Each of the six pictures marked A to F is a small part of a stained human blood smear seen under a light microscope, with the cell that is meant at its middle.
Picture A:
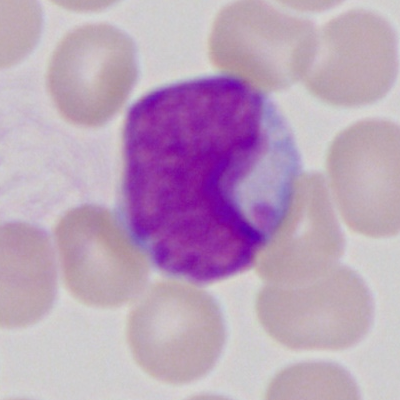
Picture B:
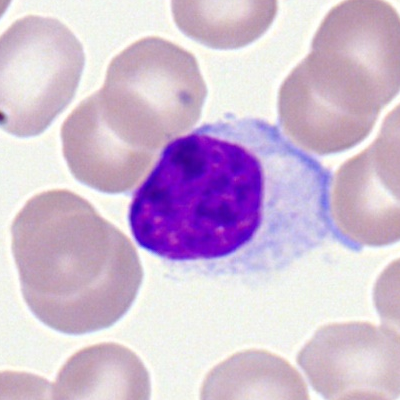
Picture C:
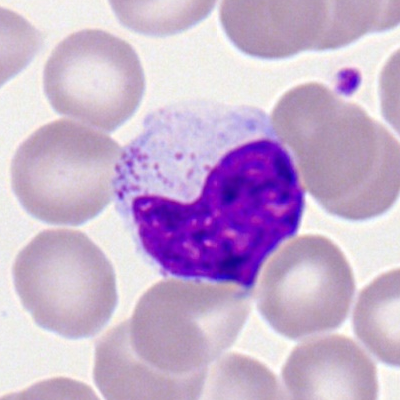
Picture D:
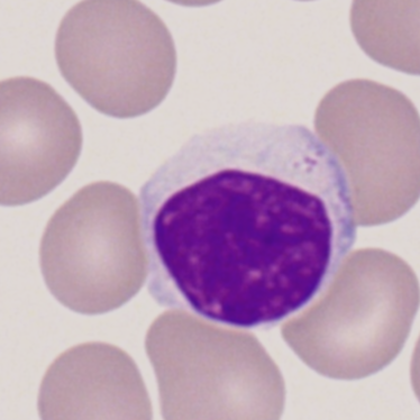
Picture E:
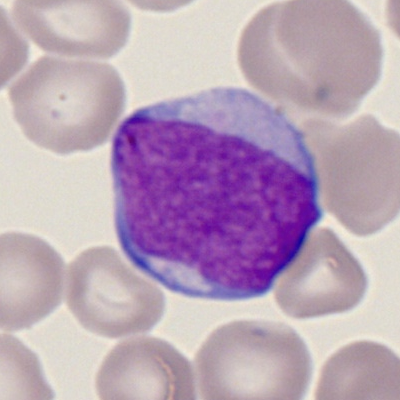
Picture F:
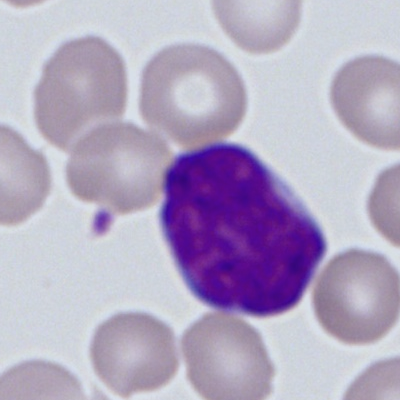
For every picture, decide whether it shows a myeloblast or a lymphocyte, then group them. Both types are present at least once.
A: myeloblast
B: lymphocyte
C: lymphocyte
D: lymphocyte
E: myeloblast
F: myeloblast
